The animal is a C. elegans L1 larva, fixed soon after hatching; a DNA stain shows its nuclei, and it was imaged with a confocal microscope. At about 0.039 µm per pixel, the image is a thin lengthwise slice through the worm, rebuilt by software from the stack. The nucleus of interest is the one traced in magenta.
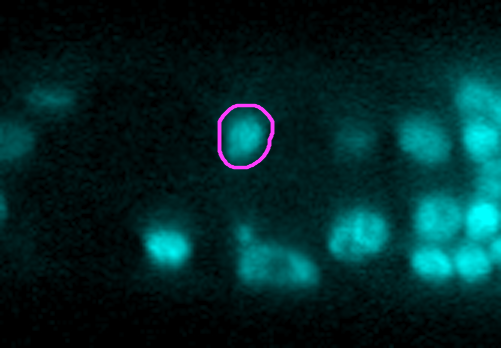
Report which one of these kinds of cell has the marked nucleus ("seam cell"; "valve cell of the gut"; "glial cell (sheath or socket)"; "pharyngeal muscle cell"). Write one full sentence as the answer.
It belongs to a valve cell of the gut.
